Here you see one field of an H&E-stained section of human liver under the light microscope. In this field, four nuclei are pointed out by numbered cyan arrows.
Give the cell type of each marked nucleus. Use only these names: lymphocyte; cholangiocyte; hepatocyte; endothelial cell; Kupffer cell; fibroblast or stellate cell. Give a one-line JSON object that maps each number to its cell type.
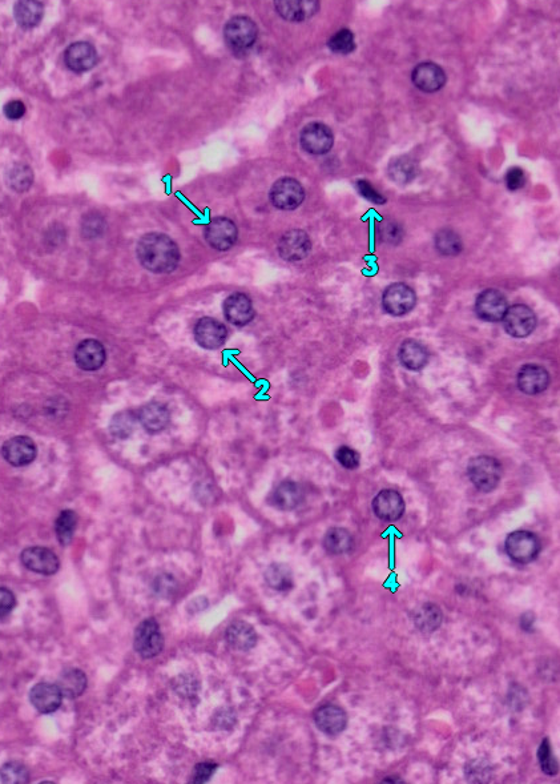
{"1": "hepatocyte", "2": "hepatocyte", "3": "endothelial cell", "4": "hepatocyte"}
